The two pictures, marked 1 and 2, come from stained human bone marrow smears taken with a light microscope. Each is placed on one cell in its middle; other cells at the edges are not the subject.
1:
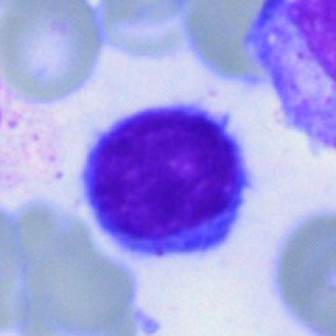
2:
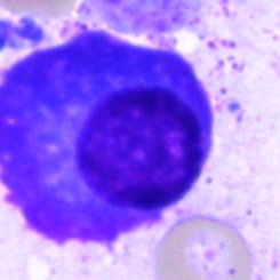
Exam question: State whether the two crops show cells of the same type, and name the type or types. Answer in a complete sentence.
No, a lymphocyte is what crop 1 shows, and a plasma cell is what crop 2 shows.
